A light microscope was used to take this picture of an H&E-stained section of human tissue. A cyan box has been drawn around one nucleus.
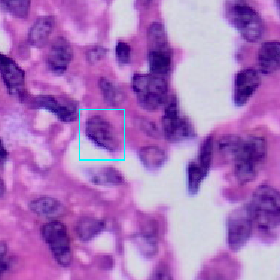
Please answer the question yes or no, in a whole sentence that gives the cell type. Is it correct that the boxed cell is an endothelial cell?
No, the boxed cell is put down as a melanoma cell, not as an endothelial cell.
